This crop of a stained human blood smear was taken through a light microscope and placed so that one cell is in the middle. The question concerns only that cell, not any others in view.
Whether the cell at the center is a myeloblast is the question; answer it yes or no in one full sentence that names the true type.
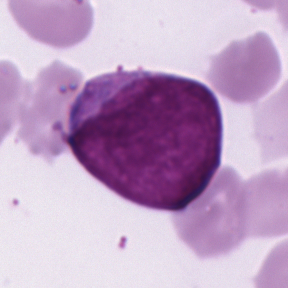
Yes, the cell at the middle of the frame is a myeloblast.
